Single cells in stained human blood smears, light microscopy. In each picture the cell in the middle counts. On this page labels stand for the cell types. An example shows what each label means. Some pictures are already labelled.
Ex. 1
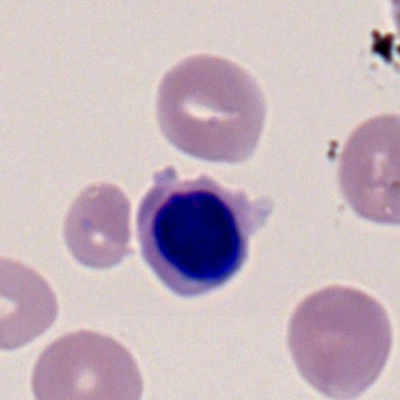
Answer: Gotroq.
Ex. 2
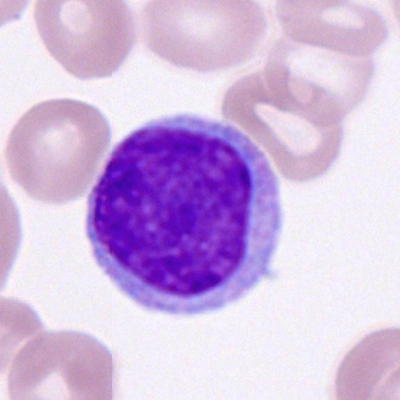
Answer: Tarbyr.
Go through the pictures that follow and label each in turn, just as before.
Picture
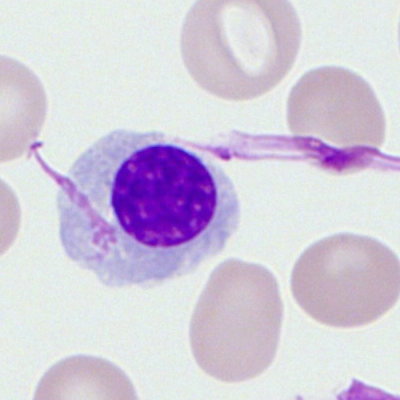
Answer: Gotroq.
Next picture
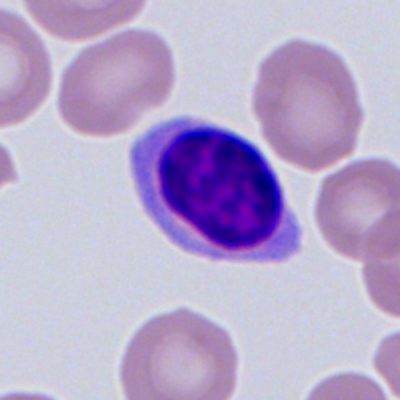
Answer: Tarbyr.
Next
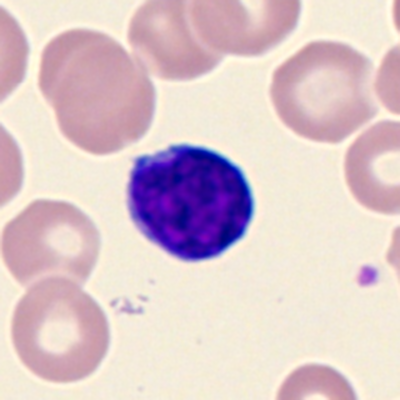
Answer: Tarbyr.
